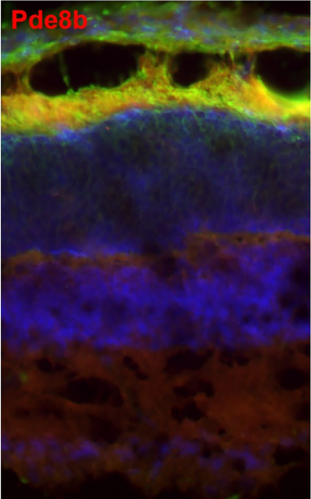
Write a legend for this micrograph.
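A vertical section of the retina shows its layers stacked from top to bottom. At the top a bright green and yellow band lies in the outer segment region, with dark rounded gaps above it. Beneath it a thick, dense band of blue nuclei forms the outer nuclear layer. A thinner, paler band, the outer plexiform layer, separates it from a second blue nuclear band, the inner nuclear layer. Below lies a broad band with diffuse red-orange staining and few nuclei, the inner plexiform layer, and at the bottom a thin row of blue nuclei forms the ganglion cell layer.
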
